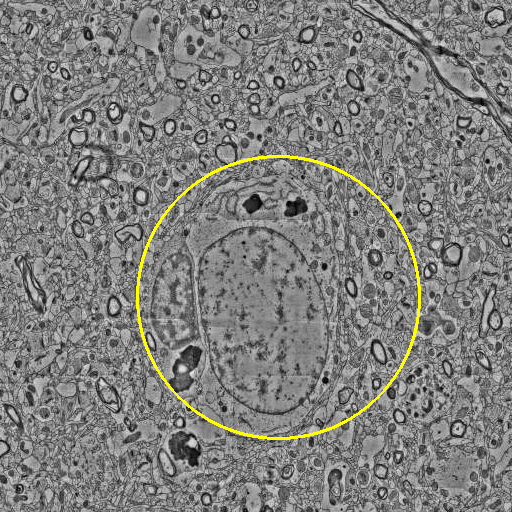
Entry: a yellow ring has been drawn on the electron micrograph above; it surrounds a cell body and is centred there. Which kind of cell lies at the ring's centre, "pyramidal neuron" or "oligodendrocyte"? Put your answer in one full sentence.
The cell sitting at the ring's centre is a pyramidal neuron in the micrograph above.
